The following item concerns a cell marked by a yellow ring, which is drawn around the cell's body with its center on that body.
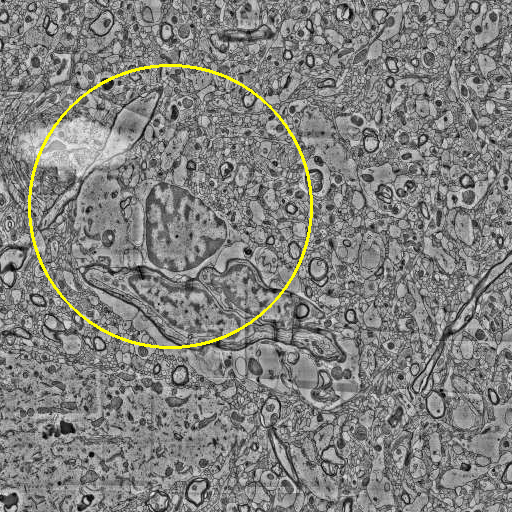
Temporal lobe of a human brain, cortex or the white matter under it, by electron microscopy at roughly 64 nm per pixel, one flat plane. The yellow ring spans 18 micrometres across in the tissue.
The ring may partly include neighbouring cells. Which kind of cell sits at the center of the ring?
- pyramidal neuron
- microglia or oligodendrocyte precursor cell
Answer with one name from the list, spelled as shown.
microglia or oligodendrocyte precursor cell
